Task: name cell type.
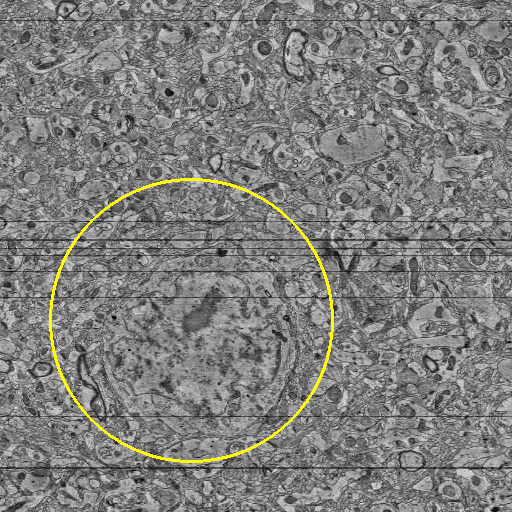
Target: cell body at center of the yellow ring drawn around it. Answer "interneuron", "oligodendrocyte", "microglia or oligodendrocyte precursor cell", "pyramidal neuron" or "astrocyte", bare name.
interneuron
